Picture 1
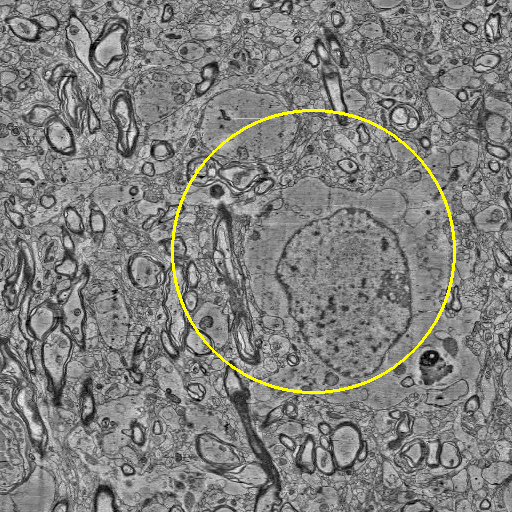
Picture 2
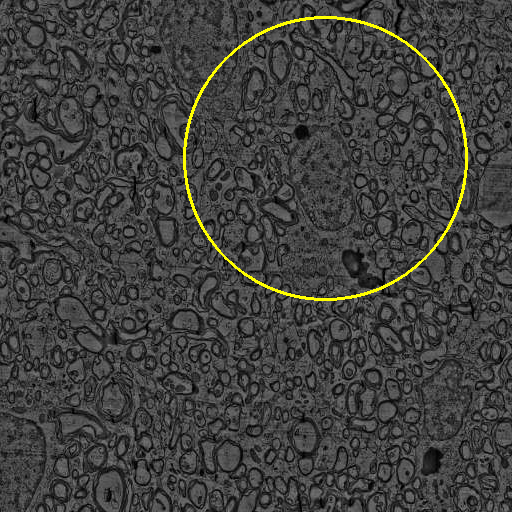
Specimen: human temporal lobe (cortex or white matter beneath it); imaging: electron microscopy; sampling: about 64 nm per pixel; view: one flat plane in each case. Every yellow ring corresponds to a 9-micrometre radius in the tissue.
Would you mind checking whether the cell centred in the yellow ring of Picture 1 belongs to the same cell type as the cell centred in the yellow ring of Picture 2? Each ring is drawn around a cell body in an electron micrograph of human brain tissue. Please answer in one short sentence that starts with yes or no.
No, the two cells are of two types.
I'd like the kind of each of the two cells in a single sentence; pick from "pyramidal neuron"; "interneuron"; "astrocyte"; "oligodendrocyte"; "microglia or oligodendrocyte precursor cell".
The first ring marks an astrocyte, and the second ring marks an oligodendrocyte.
